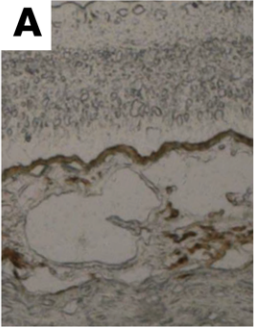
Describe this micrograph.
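This section shows the neural retina lying on the retinal pigment epithelium and choroid. The upper part is occupied by the retina, whose layers appear as finely textured grey bands packed with small rounded nuclei. Below the retina runs a continuous, wavy dark brown pigmented band marking the retinal pigment epithelium. Beneath this band lies the choroid, a loose stroma containing large, thin-walled, empty vessel lumens. Scattered brown pigmented cells are dispersed through the choroidal stroma around the vessels.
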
